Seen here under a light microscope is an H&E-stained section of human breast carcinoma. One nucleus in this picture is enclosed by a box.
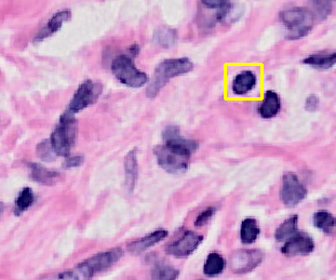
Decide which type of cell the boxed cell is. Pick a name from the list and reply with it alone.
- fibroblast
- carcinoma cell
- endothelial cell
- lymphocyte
lymphocyte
